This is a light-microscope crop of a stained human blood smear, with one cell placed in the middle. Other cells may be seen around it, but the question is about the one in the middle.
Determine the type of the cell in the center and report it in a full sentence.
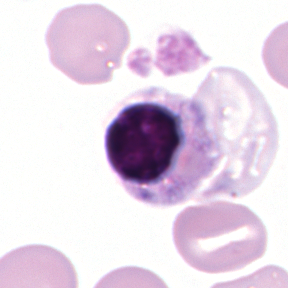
The centrally placed cell is classified as a normoblast.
